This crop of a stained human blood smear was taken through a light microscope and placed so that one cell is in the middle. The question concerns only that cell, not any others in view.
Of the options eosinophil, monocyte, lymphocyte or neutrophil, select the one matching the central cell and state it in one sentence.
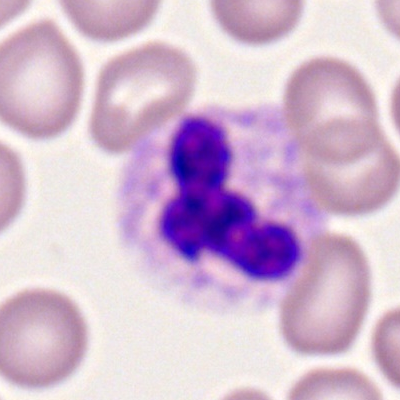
At the center of the crop sits a neutrophil.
